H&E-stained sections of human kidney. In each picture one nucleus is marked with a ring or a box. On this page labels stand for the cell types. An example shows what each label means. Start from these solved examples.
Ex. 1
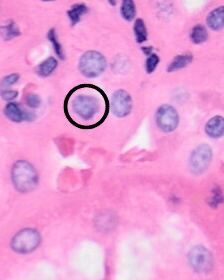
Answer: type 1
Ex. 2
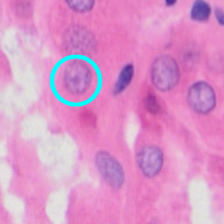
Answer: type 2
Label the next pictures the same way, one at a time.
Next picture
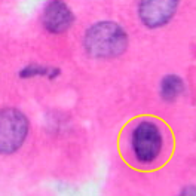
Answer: type 2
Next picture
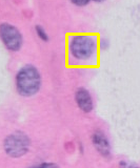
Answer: type 1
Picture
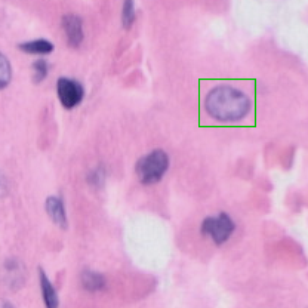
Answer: type 2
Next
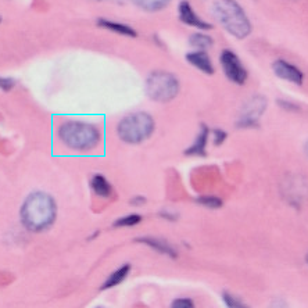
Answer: type 1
